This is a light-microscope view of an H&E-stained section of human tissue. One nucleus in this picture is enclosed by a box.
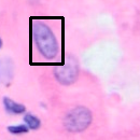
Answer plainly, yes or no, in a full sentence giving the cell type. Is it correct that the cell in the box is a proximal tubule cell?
Yes, the cell in the box has been classified as a proximal tubule cell.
